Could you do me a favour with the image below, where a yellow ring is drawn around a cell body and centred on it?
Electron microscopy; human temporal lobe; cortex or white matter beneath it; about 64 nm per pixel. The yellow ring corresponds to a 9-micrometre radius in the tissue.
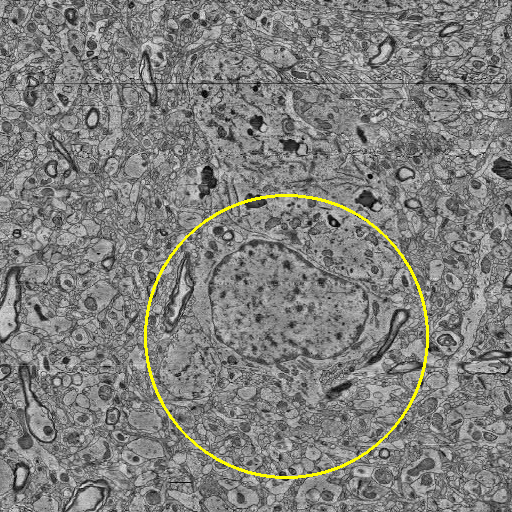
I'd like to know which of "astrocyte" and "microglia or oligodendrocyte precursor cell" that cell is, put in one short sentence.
The cell at the ring's centre is a microglial cell or oligodendrocyte precursor cell.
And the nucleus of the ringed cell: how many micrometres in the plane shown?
In this plane the nucleus measures roughly 10 by 8 micrometers.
